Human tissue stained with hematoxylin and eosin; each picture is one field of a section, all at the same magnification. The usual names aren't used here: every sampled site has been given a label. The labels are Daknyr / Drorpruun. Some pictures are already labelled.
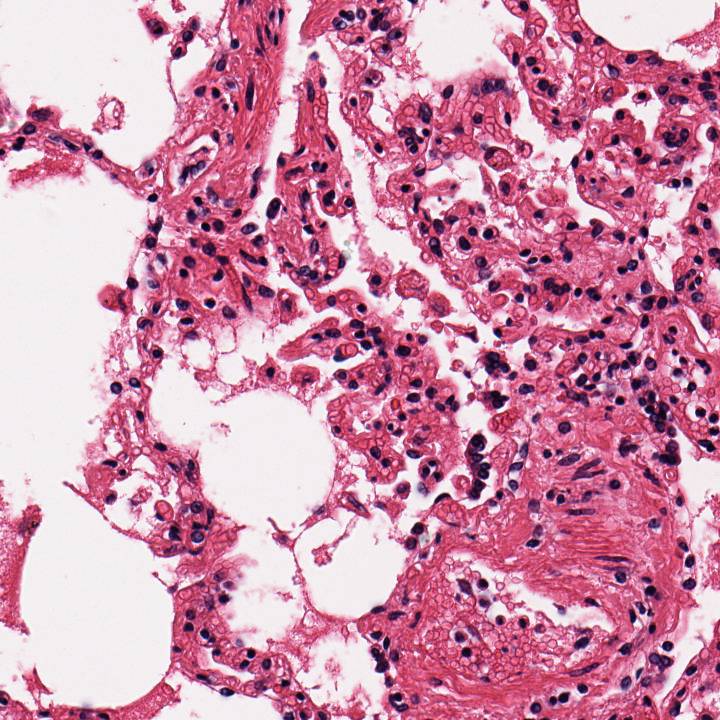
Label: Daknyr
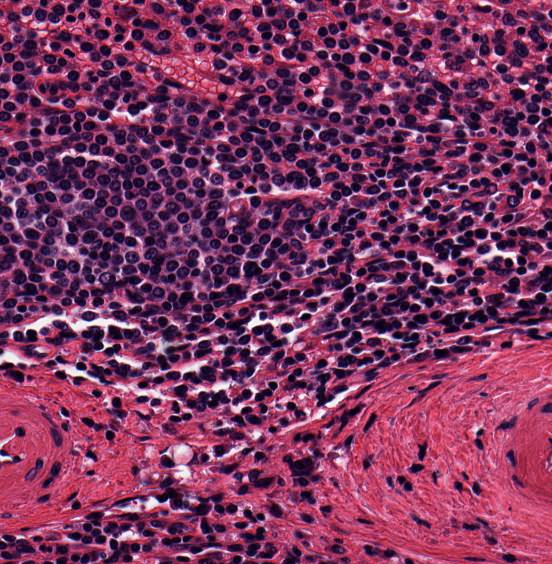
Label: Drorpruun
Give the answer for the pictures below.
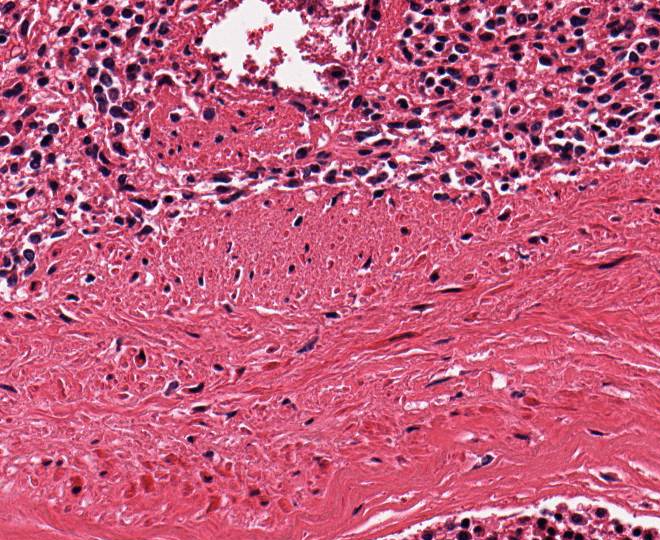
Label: Drorpruun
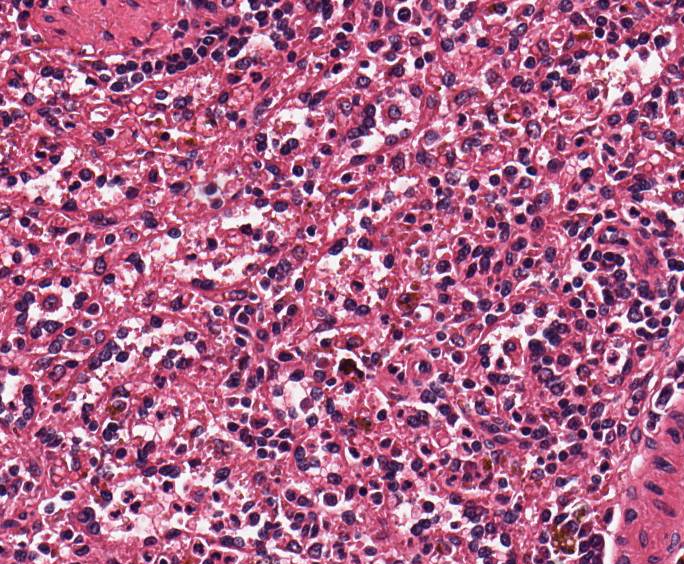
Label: Drorpruun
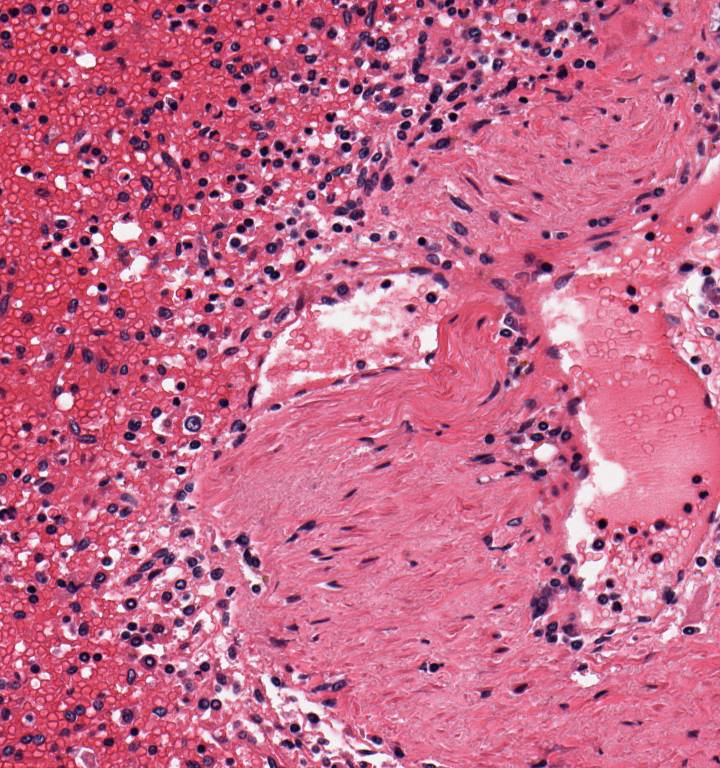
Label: Drorpruun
